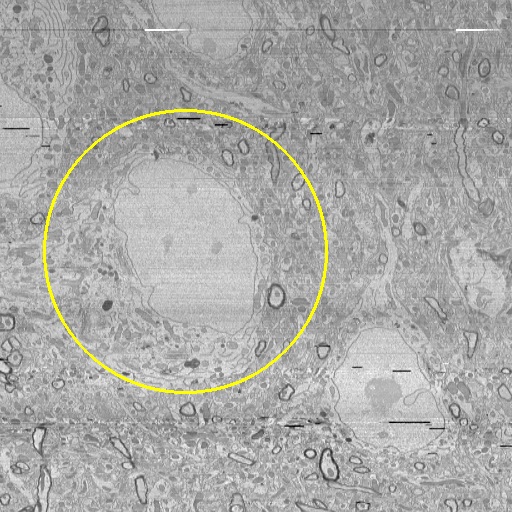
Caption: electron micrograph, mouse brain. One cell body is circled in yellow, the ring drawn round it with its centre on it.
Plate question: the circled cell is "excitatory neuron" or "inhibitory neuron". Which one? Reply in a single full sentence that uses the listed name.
The yellow ring on the plate is centred on an excitatory neuron, going by the listed names.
